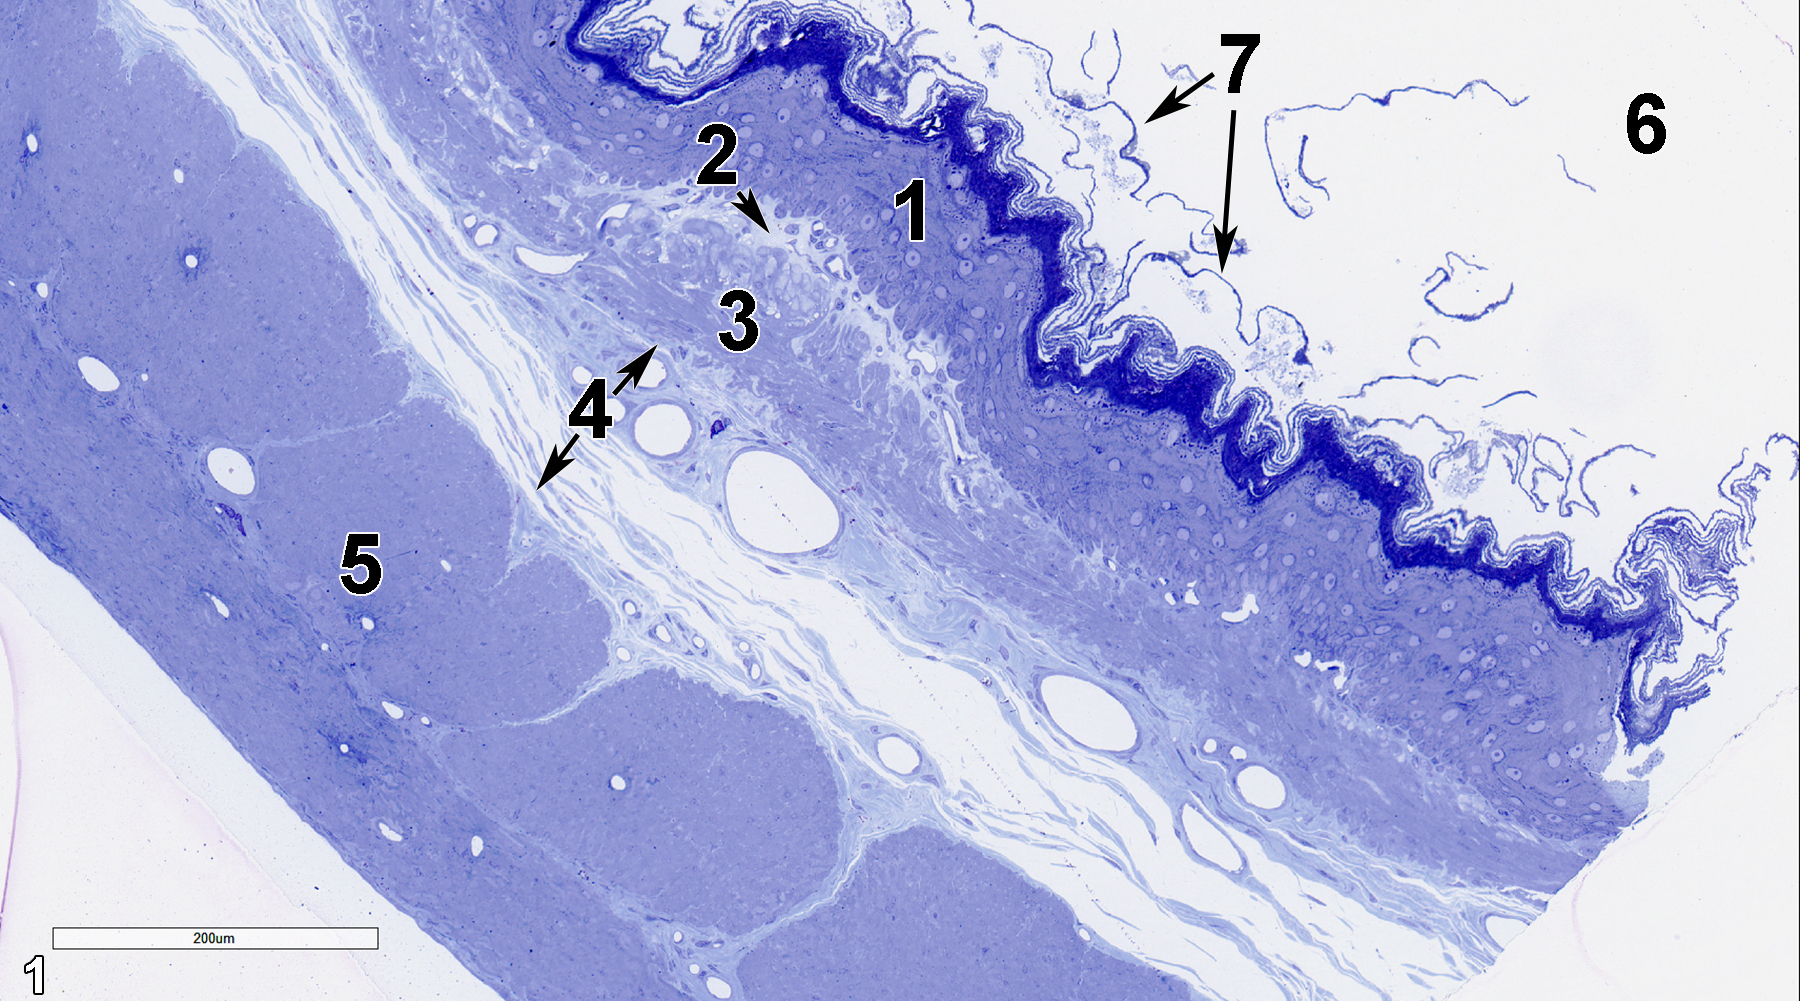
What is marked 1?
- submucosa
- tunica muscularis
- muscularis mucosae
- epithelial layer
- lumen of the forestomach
epithelial layer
